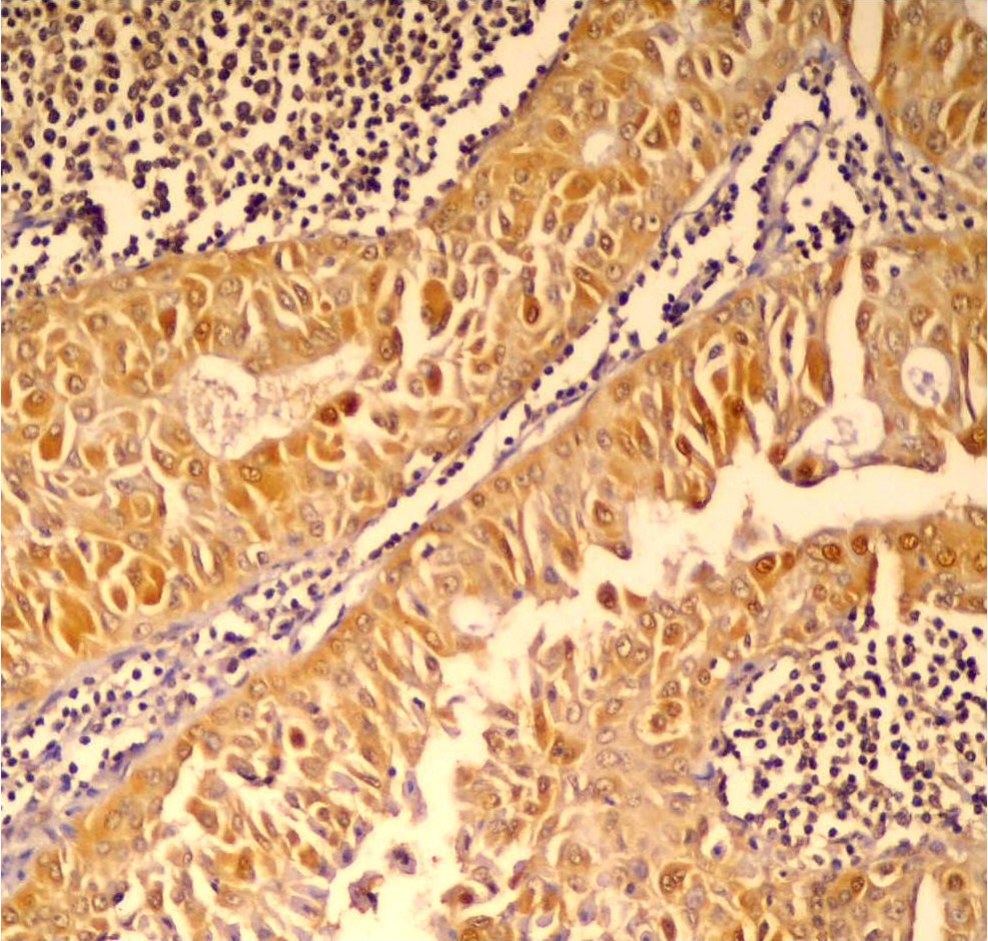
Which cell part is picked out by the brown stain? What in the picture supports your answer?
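Cytoplasmic. Brown colour fills the cell bodies of the epithelial cells. Many nuclei stay paler than the surrounding brown cell body.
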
